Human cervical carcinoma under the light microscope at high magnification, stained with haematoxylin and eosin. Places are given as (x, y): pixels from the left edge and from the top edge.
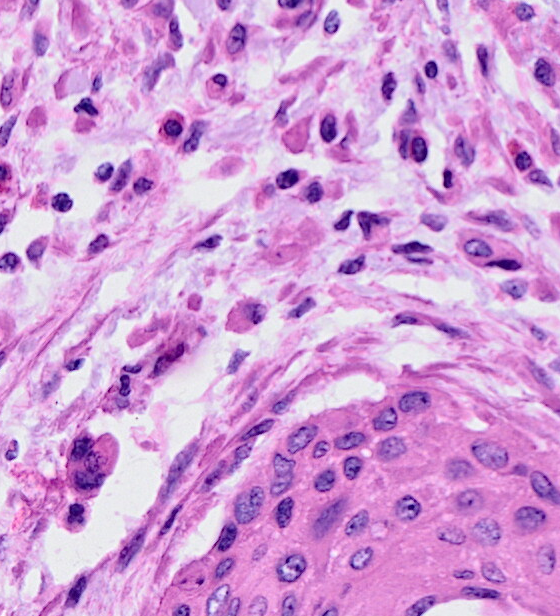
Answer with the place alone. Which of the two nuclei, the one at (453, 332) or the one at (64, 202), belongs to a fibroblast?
(453, 332)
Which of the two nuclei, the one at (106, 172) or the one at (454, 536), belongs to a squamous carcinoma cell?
(454, 536)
